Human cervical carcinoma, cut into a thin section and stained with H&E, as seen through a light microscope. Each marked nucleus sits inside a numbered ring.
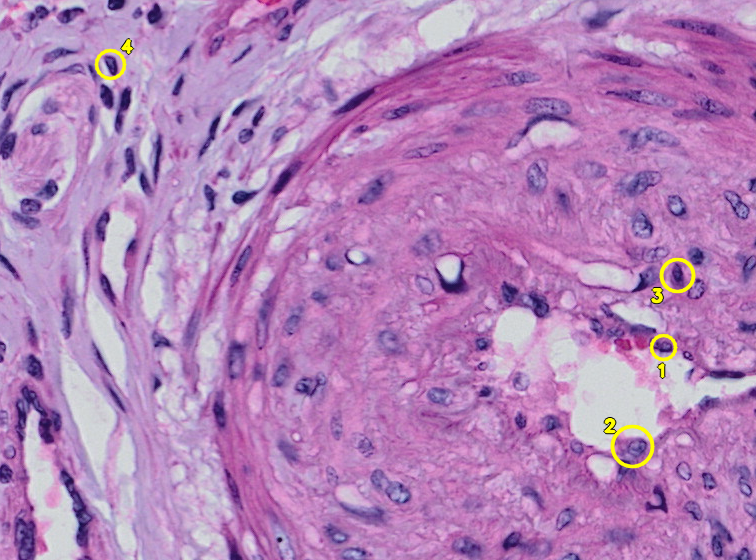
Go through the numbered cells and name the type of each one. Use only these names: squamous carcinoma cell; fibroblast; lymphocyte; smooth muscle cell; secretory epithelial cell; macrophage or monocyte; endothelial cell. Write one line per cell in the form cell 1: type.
cell 1: endothelial cell
cell 2: endothelial cell
cell 3: smooth muscle cell
cell 4: lymphocyte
